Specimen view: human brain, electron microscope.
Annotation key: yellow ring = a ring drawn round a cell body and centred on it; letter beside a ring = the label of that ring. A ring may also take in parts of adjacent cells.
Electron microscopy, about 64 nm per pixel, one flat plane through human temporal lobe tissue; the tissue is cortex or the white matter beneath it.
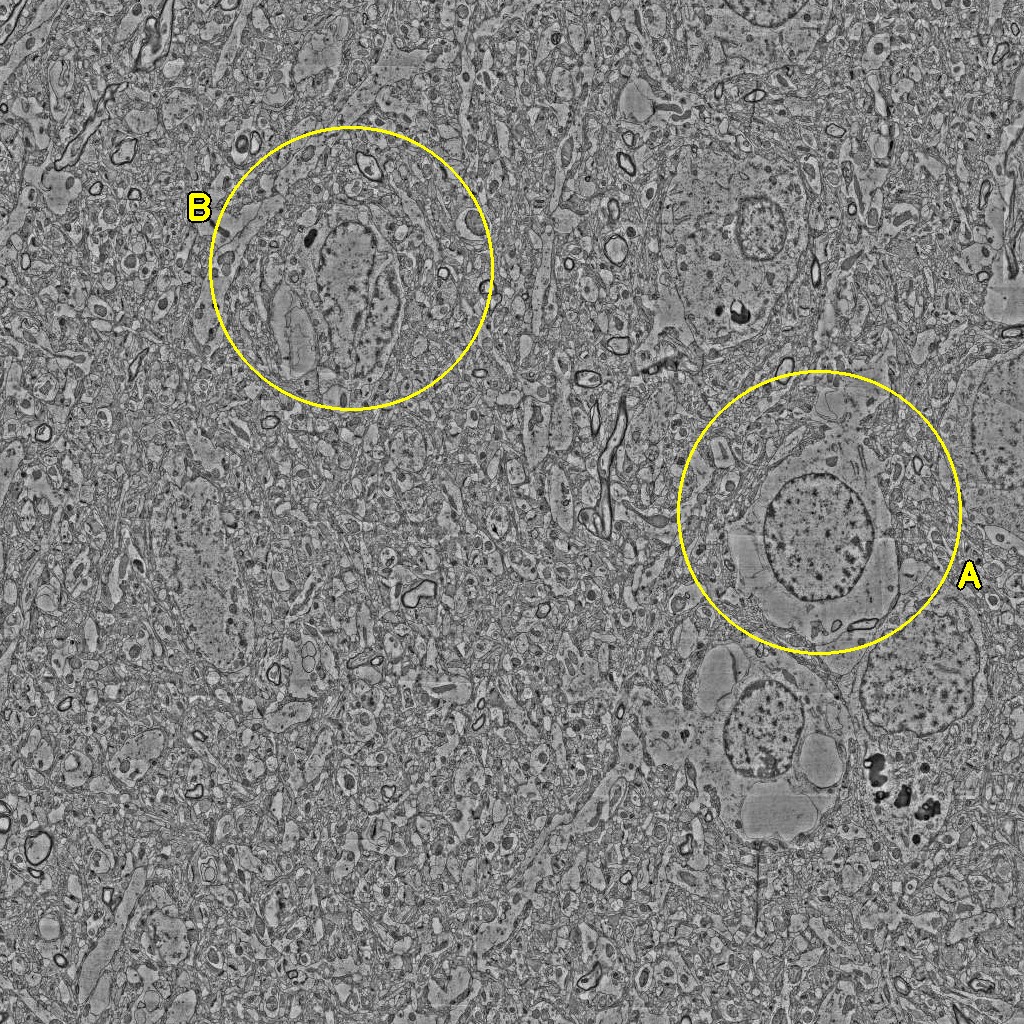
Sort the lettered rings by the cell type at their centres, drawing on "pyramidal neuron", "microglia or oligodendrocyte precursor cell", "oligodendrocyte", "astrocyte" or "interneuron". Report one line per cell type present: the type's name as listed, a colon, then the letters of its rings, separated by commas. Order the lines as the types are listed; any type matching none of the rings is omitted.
astrocyte: A
interneuron: B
